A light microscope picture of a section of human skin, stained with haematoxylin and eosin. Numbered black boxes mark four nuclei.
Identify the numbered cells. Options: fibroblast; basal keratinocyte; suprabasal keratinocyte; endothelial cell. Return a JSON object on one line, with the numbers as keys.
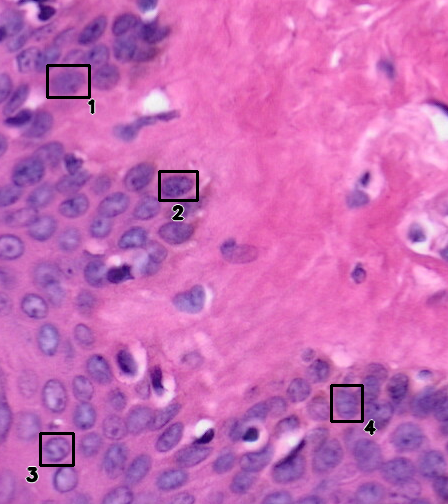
{"1": "basal keratinocyte", "2": "basal keratinocyte", "3": "suprabasal keratinocyte", "4": "basal keratinocyte"}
